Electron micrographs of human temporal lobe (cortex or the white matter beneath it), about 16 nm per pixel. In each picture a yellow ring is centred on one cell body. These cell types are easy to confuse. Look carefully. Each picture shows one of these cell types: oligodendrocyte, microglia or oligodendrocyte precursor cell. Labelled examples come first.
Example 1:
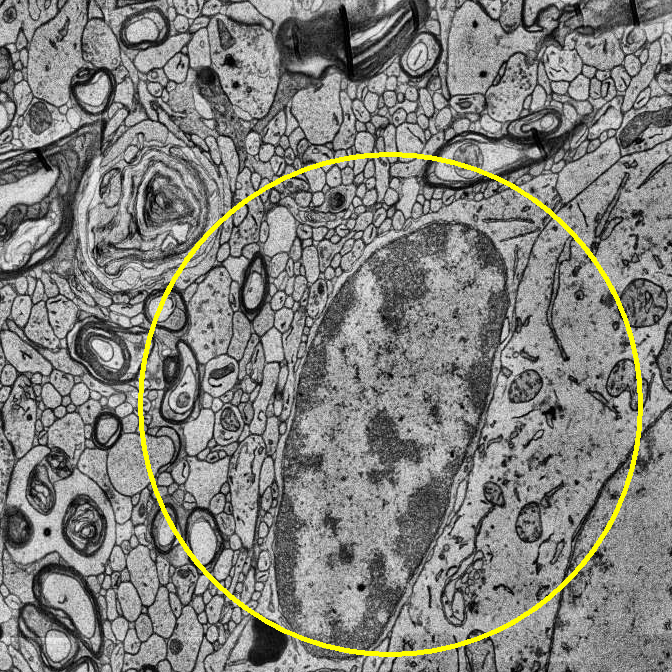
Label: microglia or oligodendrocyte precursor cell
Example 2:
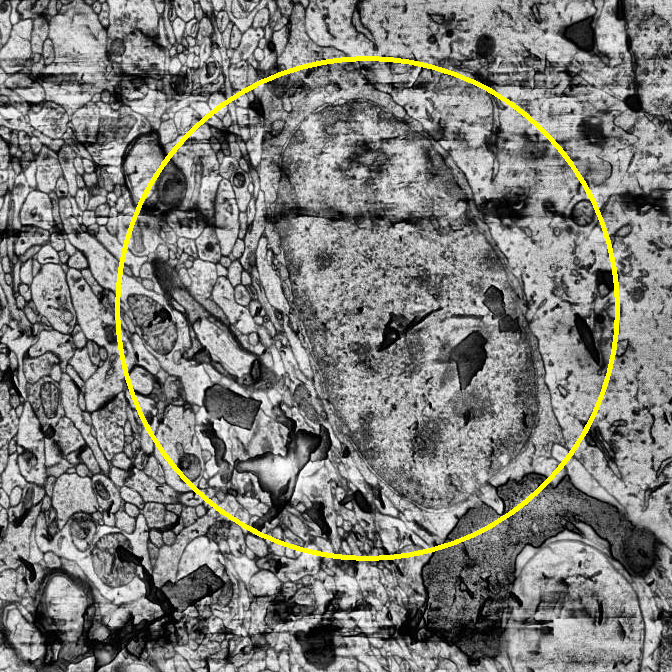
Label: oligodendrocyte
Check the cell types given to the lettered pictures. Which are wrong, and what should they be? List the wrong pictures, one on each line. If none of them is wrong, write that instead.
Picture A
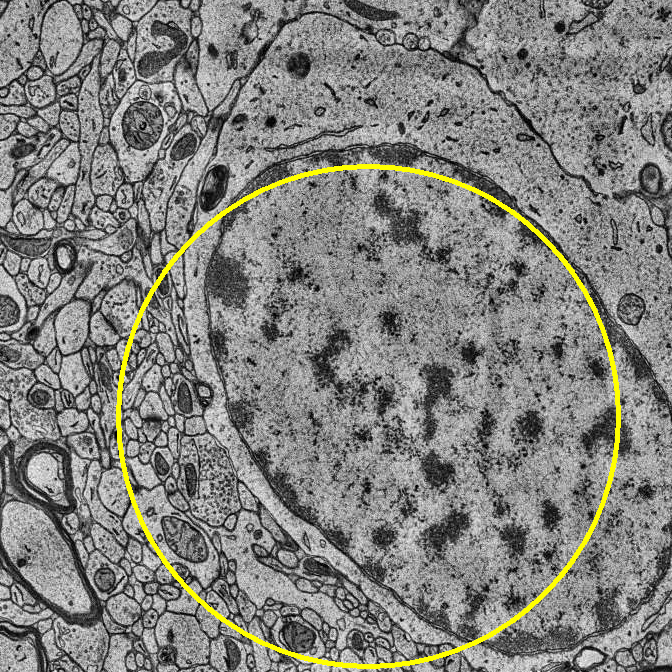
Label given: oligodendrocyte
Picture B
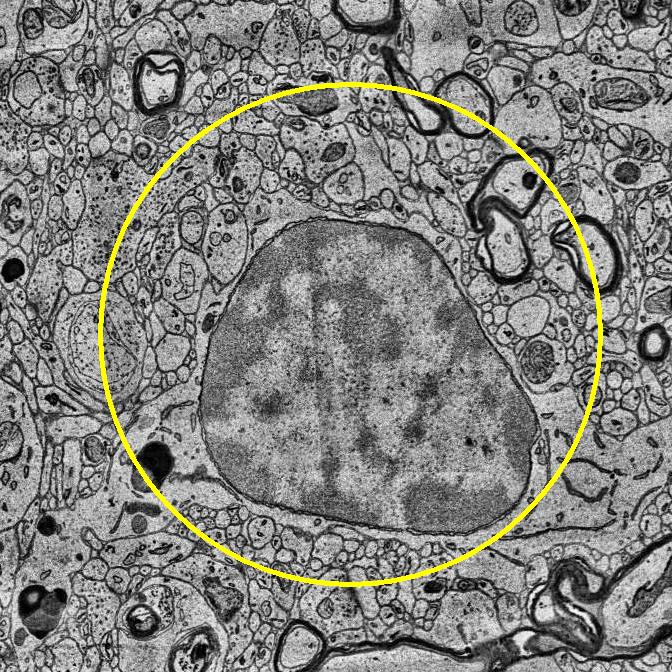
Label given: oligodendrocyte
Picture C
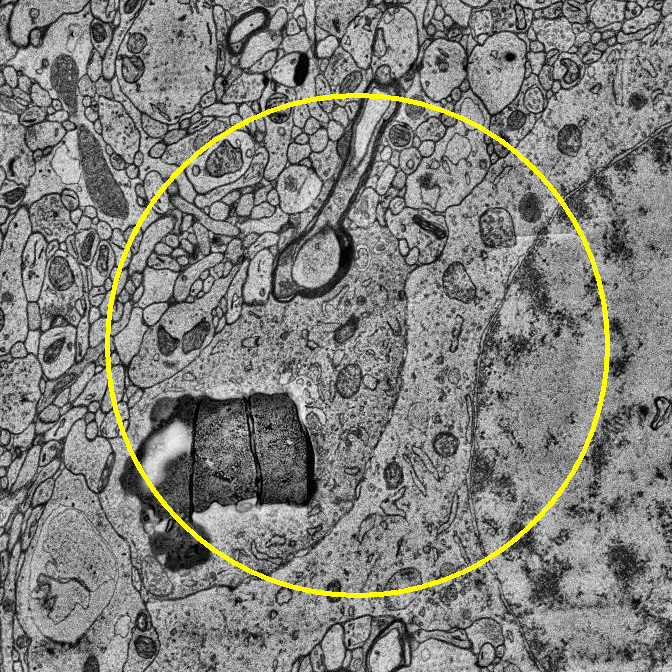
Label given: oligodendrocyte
Wrong: A (oligodendrocyte); correct: microglia or oligodendrocyte precursor cell
Wrong: B (oligodendrocyte); correct: microglia or oligodendrocyte precursor cell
